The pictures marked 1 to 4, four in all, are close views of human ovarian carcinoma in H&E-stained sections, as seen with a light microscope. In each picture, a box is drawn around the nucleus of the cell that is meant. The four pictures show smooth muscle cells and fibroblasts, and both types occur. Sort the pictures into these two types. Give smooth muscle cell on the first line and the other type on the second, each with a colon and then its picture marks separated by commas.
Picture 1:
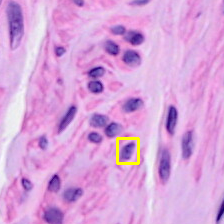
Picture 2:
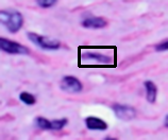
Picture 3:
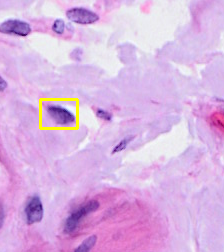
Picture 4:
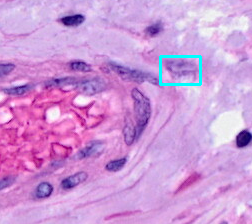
smooth muscle cell: 1
fibroblast: 2, 3, 4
